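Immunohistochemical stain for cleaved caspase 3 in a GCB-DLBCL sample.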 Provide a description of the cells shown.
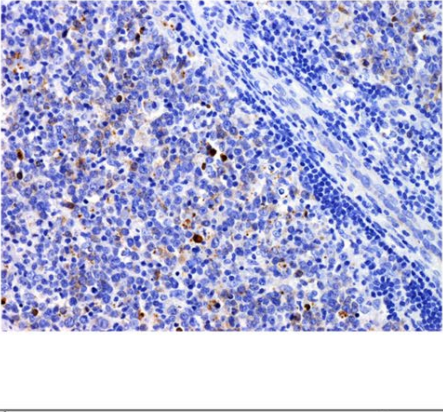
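This is a densely cellular tissue made of sheets of closely packed round cells, counterstained blue, with scattered cells stained brown. Most of the cells on the left and in the upper part have fairly large, round to oval, pale blue nuclei and little visible cytoplasm. They lie diffusely, with no follicles or other ordered architecture. Among them, single cells stand out with intense dark brown staining, and many more show fainter, granular light brown staining. A diagonal band runs from the upper middle toward the lower right.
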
